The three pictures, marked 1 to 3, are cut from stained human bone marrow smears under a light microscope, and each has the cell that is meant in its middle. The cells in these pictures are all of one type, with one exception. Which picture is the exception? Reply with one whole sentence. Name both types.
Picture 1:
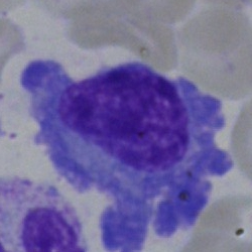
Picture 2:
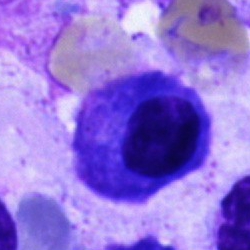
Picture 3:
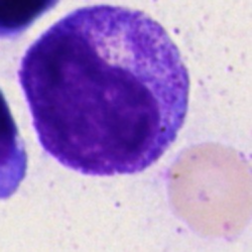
Picture 3 differs, because its cell is a promyelocyte and the rest are plasma cells.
